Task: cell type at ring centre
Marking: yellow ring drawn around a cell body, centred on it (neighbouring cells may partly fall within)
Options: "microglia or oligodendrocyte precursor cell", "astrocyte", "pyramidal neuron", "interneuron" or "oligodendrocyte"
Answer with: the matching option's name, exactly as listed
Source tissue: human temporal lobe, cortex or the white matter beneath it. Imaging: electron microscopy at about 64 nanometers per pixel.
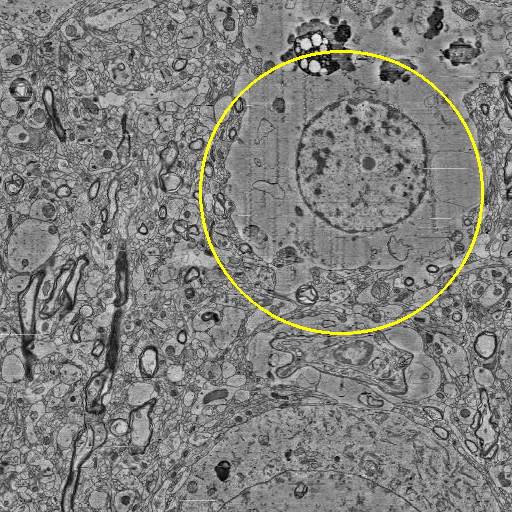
astrocyte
